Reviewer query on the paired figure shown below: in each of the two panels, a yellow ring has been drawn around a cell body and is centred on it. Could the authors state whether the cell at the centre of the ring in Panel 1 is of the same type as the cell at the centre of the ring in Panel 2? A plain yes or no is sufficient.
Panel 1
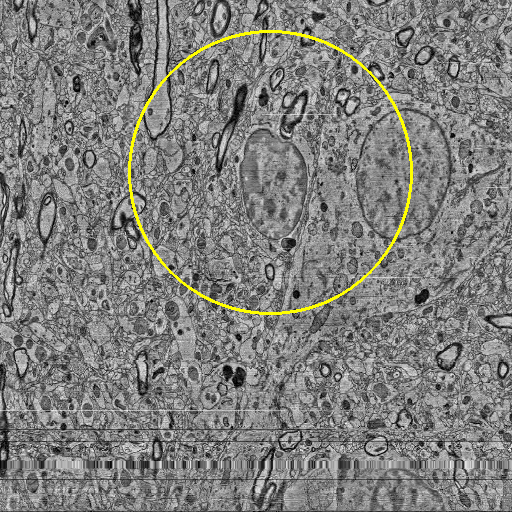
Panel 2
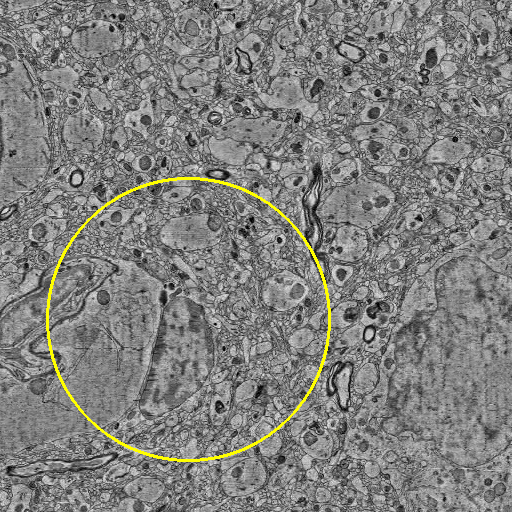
yes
